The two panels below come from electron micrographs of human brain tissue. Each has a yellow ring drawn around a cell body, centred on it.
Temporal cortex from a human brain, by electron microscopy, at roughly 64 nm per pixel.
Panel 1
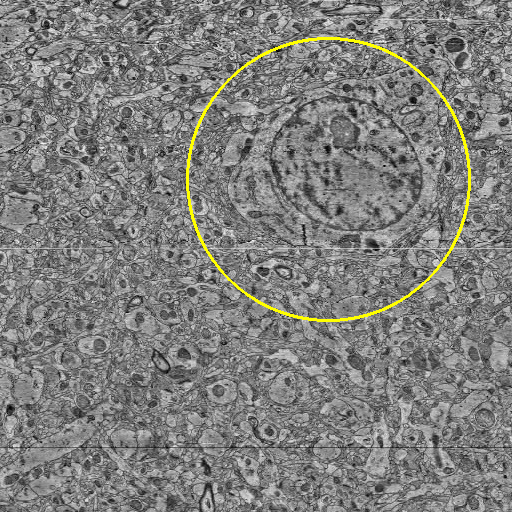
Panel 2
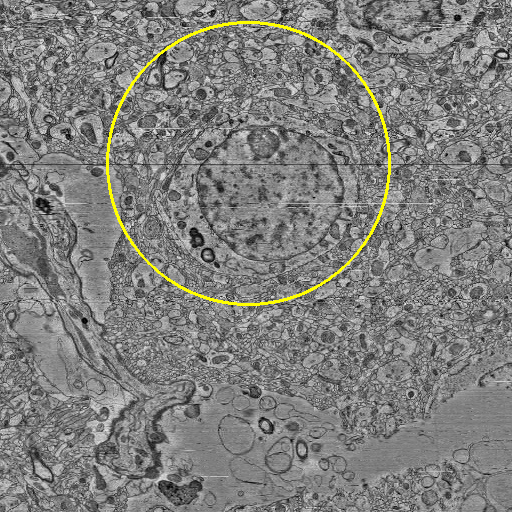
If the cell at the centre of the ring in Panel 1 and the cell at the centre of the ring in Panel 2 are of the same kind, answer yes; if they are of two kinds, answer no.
yes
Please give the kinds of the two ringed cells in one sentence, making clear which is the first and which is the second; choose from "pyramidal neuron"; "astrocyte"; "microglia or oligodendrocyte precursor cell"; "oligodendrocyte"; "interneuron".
Both the first and the second picture show a pyramidal neuron in the ring.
